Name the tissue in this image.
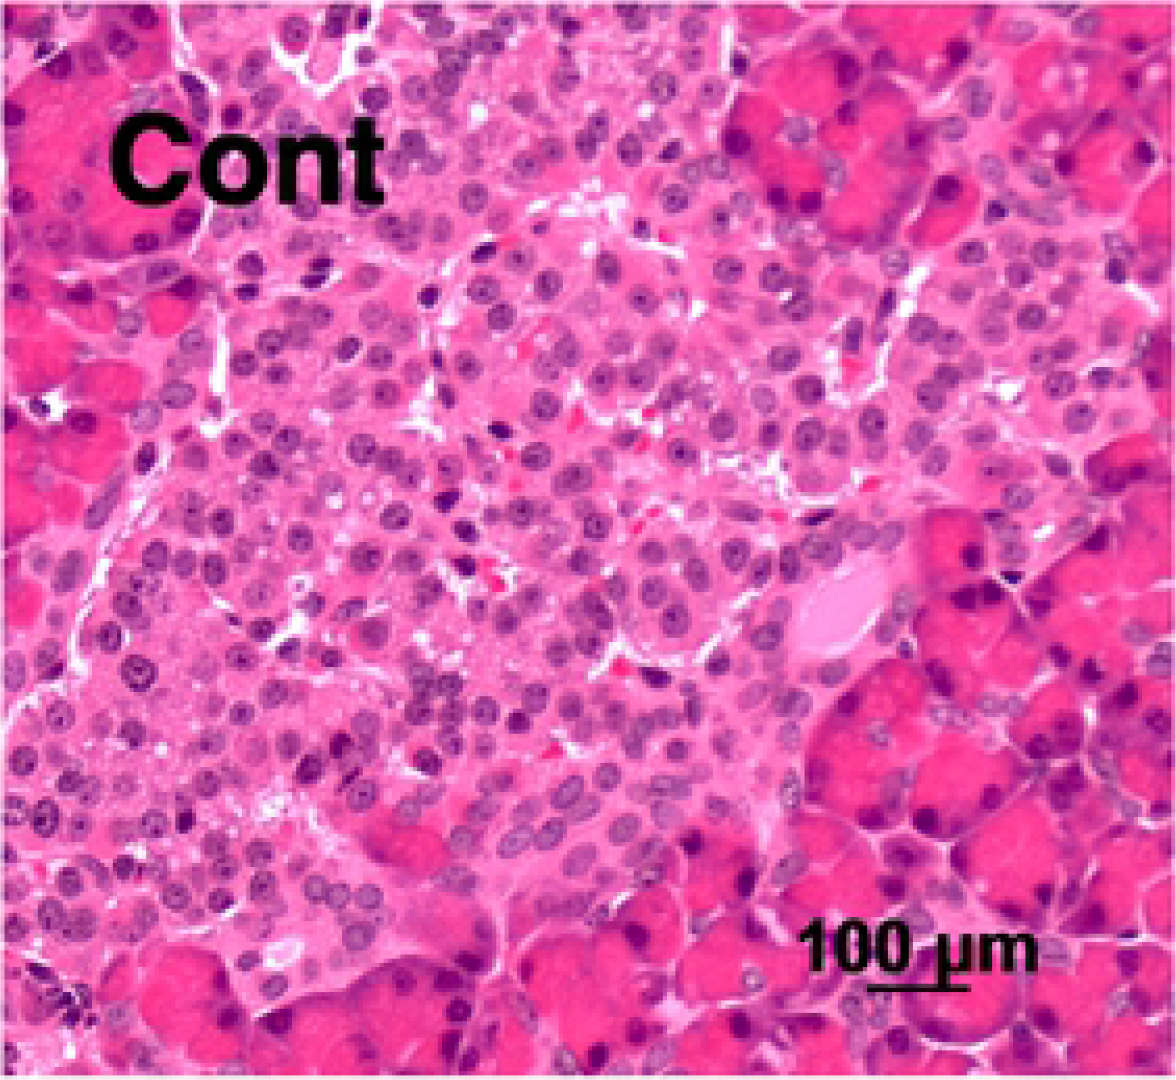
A: Langerhans islet.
